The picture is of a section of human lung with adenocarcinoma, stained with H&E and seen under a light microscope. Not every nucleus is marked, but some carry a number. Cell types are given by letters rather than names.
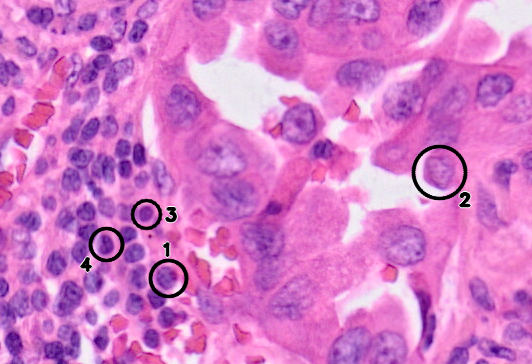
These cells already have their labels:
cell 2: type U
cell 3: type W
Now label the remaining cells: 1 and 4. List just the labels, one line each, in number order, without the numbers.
type W
type W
